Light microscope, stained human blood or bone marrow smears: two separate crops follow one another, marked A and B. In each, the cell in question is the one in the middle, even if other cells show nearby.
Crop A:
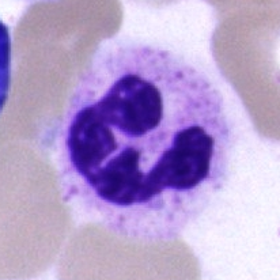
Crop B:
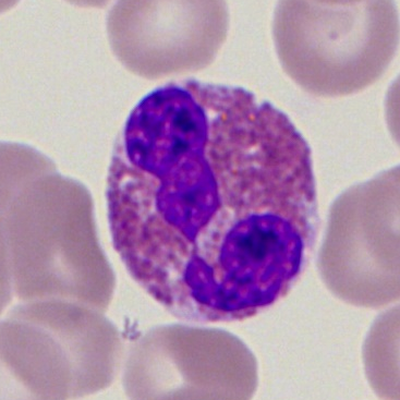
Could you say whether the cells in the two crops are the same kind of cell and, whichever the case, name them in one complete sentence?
No, as for crop A, it shows a neutrophil, and crop B shows an eosinophil.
